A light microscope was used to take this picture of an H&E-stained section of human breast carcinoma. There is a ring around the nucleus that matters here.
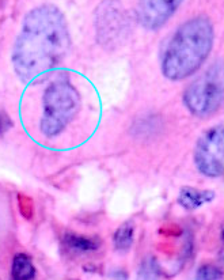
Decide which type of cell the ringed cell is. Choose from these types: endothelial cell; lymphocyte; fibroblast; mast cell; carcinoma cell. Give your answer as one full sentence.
In cell-type terms, the ringed cell is a carcinoma cell.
